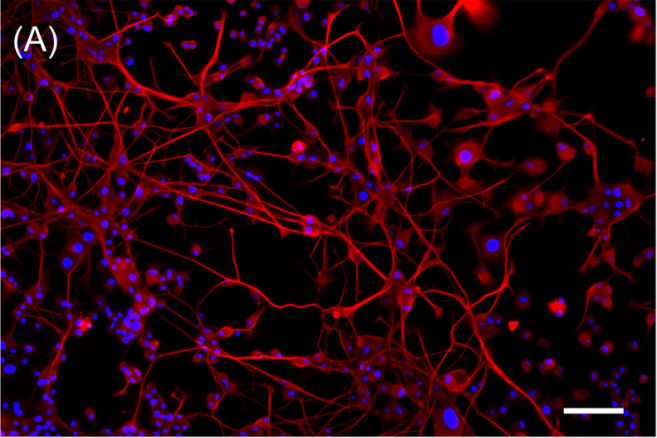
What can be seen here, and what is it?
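Cultured neurons with an extensive network of processes. Cell bodies, stained red, are rounded or angular and give off one or several long, thin, branching processes that run across the field and cross one another to form a loose web. Nuclei, blue, are mostly small and round; many cells sit in small clumps along the processes, while a few larger rounded cells carry bigger nuclei. Between the processes the dish is largely empty and dark.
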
